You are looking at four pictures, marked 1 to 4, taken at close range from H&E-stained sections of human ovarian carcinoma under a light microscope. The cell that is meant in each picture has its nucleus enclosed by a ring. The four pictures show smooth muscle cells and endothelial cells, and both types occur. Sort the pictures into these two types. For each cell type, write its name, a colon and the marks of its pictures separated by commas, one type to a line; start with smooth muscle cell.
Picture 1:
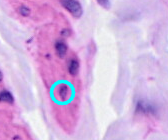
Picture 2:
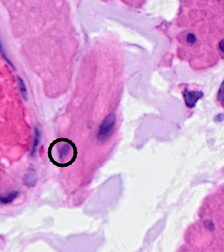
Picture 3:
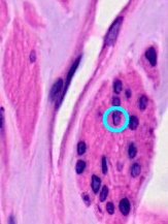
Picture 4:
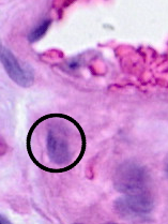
smooth muscle cell: 1, 2, 3
endothelial cell: 4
